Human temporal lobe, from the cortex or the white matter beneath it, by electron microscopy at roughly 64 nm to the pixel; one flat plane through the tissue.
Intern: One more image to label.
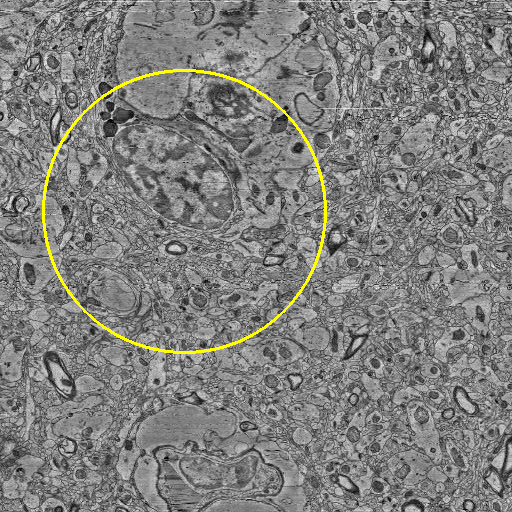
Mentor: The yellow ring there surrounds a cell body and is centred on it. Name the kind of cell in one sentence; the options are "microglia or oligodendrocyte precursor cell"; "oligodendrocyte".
The ring marks the cell body of a microglial cell or oligodendrocyte precursor cell.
